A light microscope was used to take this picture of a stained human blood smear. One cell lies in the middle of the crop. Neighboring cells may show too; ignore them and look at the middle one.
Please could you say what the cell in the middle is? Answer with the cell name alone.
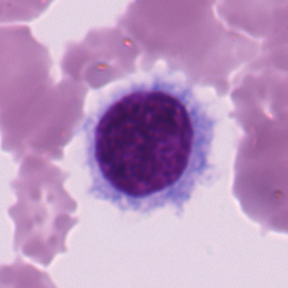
hairy cell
